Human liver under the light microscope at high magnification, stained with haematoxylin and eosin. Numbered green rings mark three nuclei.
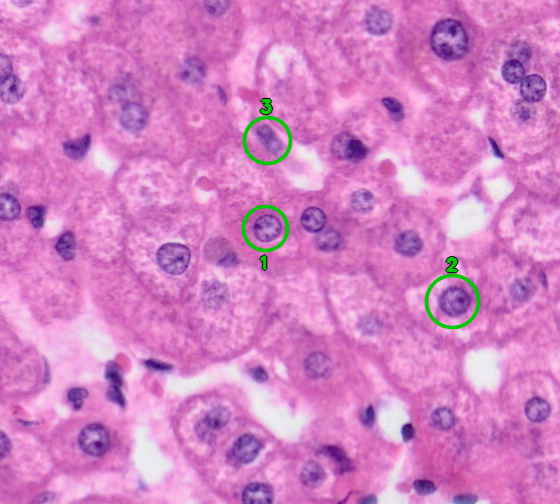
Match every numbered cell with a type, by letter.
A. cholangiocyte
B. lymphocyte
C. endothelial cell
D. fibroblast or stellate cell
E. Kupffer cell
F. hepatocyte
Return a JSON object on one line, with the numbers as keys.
{"1": "F", "2": "F", "3": "E"}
